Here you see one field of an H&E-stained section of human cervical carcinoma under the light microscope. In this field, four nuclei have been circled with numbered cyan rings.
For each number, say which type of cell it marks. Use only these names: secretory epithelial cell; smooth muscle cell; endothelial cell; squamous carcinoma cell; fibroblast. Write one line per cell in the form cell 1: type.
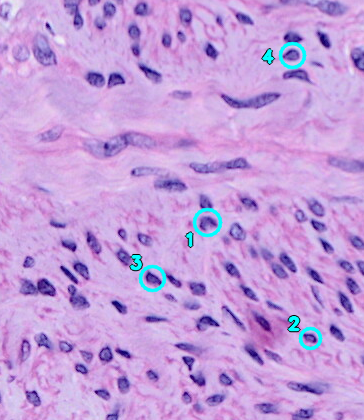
cell 1: smooth muscle cell
cell 2: smooth muscle cell
cell 3: smooth muscle cell
cell 4: fibroblast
